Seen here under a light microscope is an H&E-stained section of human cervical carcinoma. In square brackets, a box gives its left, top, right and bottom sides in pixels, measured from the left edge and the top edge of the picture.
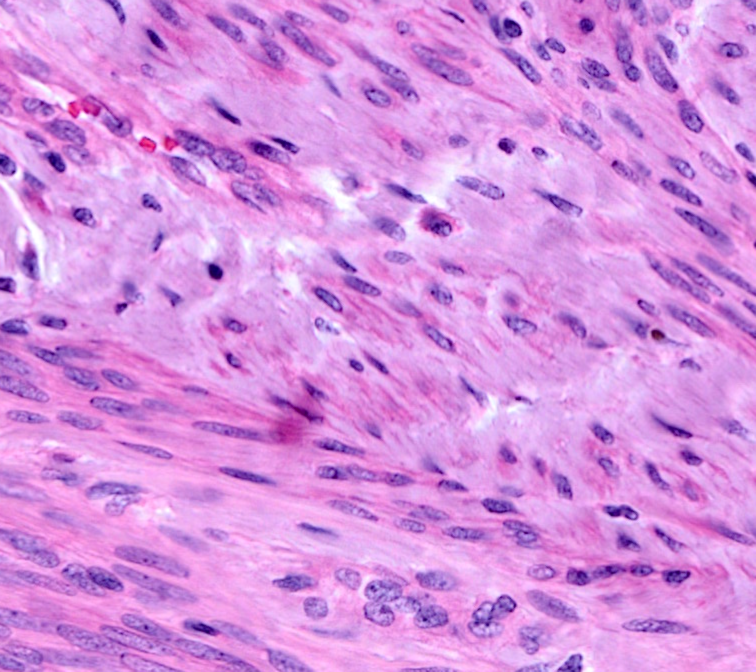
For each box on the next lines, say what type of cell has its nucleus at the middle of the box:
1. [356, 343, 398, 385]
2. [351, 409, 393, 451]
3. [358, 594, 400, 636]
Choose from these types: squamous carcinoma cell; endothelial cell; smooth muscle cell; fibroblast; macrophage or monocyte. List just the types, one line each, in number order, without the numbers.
smooth muscle cell
smooth muscle cell
endothelial cell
